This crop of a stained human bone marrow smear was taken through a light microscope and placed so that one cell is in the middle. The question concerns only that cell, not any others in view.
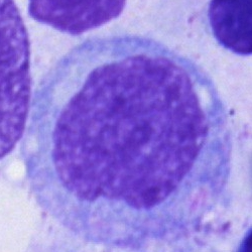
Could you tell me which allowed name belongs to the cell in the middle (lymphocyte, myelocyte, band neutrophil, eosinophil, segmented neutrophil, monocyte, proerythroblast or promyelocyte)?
monocyte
